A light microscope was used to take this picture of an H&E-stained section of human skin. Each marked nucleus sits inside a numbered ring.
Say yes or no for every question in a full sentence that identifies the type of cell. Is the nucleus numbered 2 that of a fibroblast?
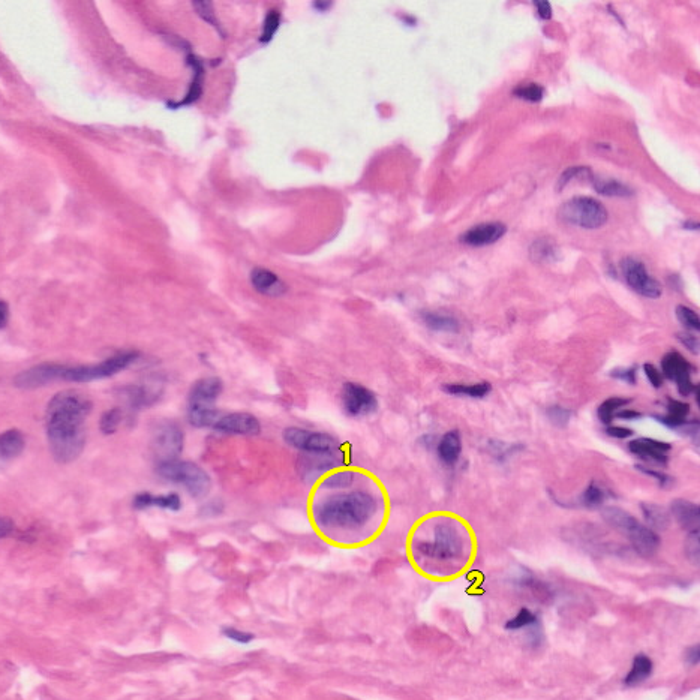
Yes, cell number 2 is classified as a fibroblast.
